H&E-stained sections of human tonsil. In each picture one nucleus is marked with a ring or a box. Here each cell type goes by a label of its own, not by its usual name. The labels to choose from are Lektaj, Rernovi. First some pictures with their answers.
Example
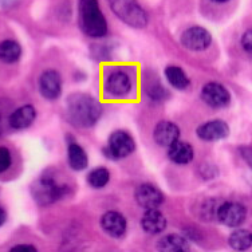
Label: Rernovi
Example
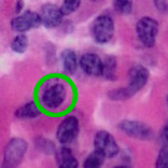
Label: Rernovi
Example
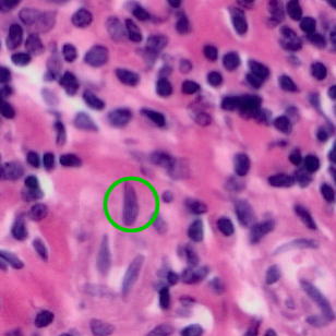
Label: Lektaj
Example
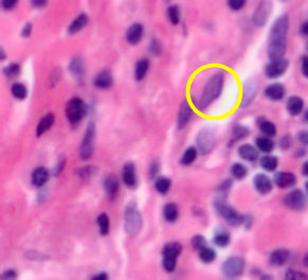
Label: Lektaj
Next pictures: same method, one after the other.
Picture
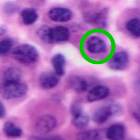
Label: Rernovi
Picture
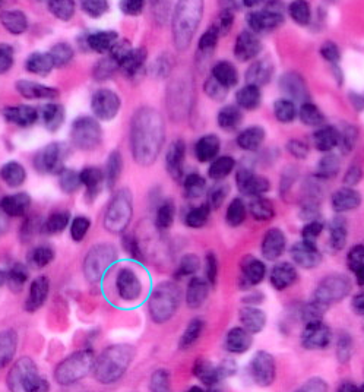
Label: Lektaj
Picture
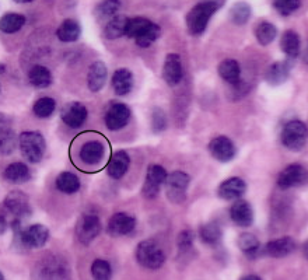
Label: Rernovi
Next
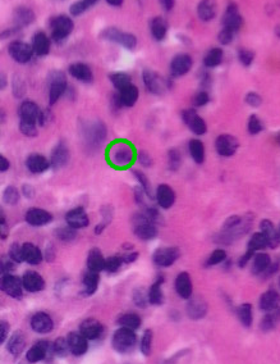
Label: Lektaj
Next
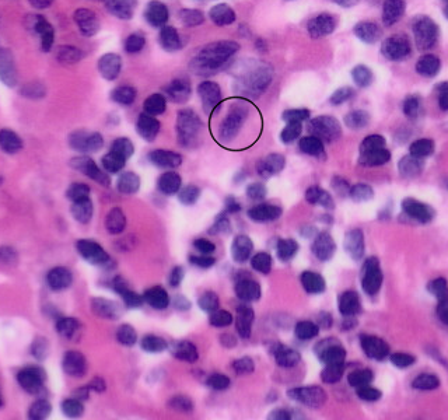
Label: Lektaj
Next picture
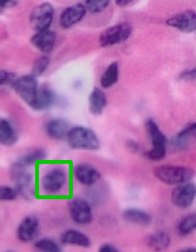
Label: Rernovi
